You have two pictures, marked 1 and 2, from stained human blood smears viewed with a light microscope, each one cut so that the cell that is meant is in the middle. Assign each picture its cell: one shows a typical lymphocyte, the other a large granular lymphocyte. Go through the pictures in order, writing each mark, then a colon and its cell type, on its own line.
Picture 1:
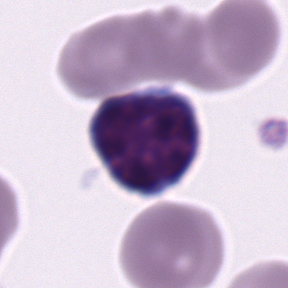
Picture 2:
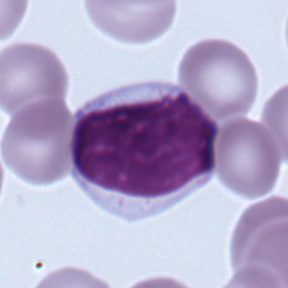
1: typical lymphocyte
2: large granular lymphocyte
